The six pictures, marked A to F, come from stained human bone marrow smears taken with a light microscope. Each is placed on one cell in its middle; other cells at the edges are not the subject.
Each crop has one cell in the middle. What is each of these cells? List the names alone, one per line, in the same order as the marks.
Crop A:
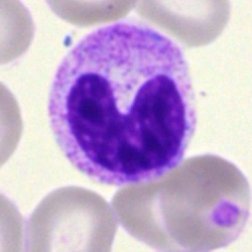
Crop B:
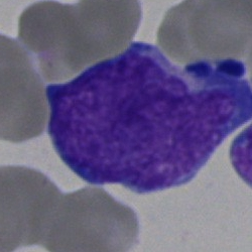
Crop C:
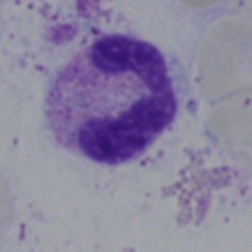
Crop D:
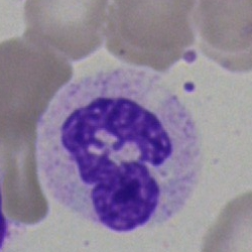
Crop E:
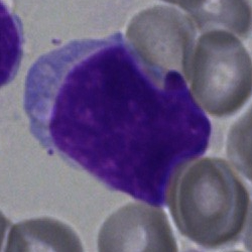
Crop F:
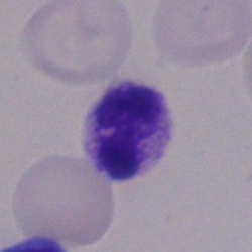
band neutrophil
blast
band neutrophil
segmented neutrophil
blast
segmented neutrophil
